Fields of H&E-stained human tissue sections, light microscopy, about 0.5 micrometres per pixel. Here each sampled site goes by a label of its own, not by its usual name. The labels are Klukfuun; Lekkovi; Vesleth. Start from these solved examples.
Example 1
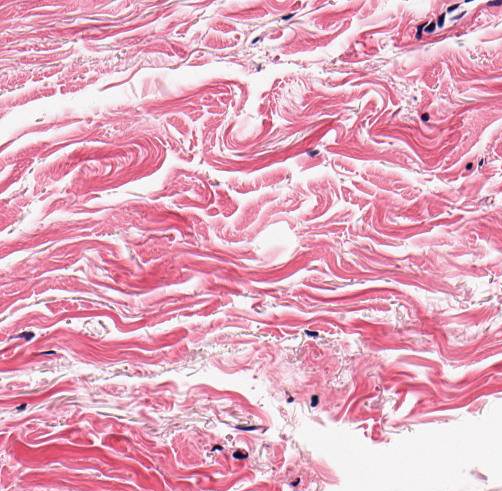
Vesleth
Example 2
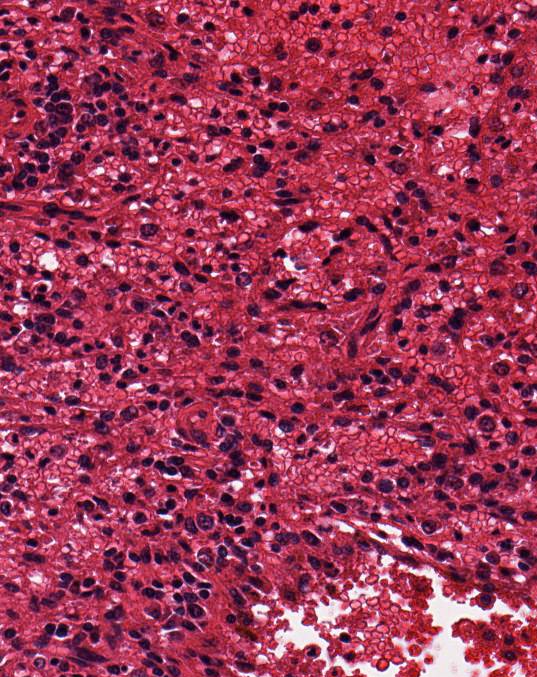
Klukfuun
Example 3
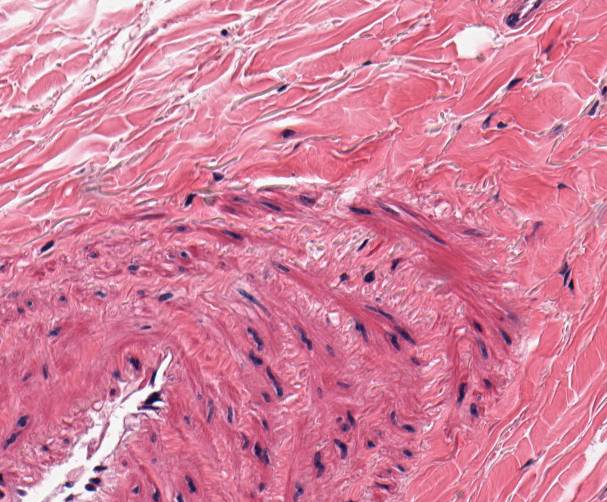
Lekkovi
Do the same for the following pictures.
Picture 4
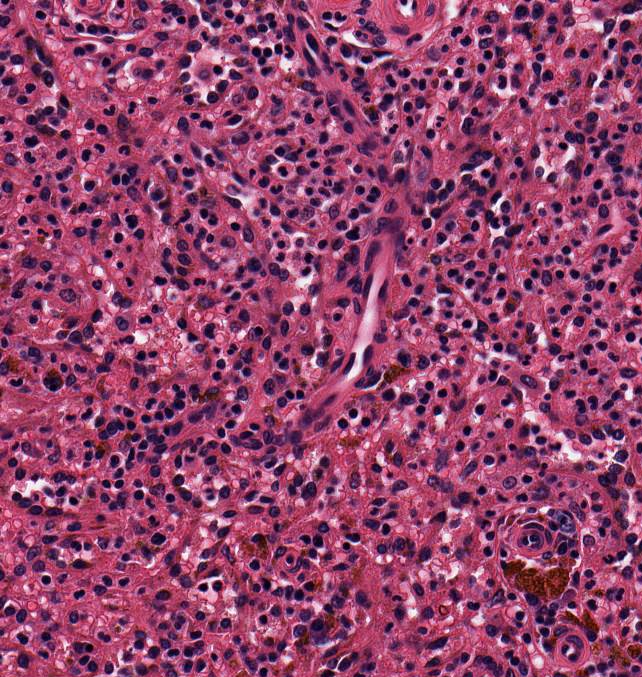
Klukfuun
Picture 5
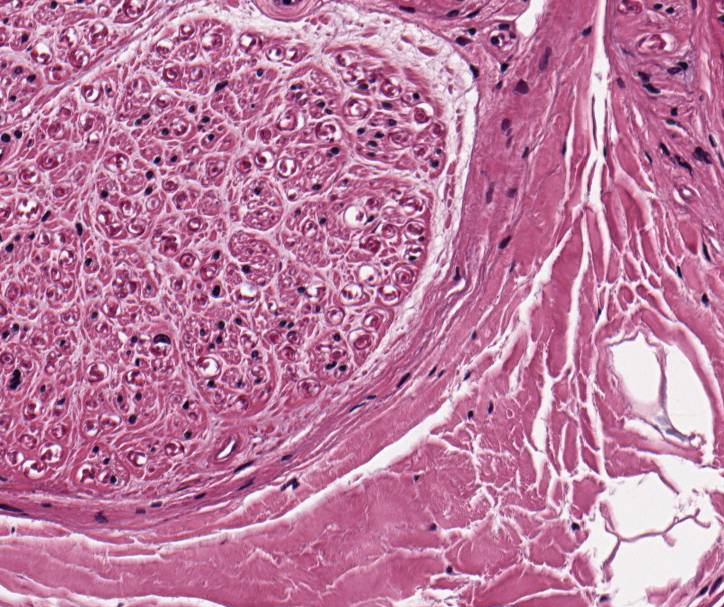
Lekkovi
